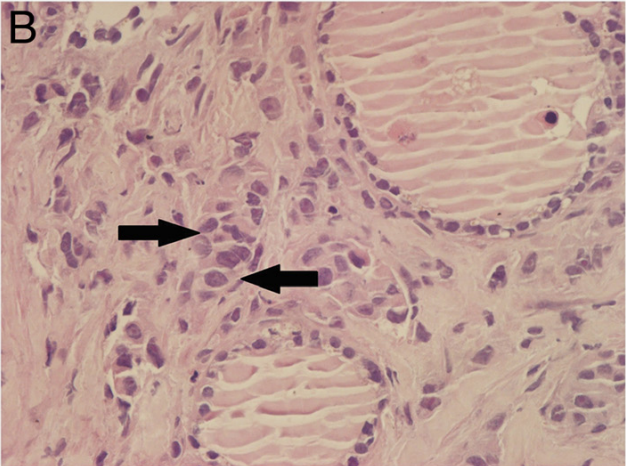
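Thyroid tissue with round follicles full of pink, cracked colloid, each lined by a single layer of flattened cells with small dark nuclei. Between the follicles, crowded cells with enlarged oval to irregular nuclei and pale cytoplasm infiltrate a pink fibrous stroma. These infiltrating cells lie singly and in loose small groups rather than forming follicles, and their nuclei are clearly larger than those of the follicle lining.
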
